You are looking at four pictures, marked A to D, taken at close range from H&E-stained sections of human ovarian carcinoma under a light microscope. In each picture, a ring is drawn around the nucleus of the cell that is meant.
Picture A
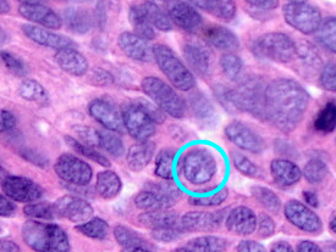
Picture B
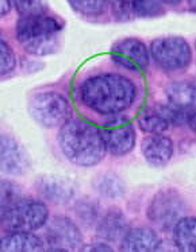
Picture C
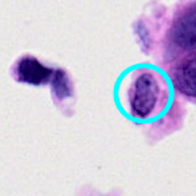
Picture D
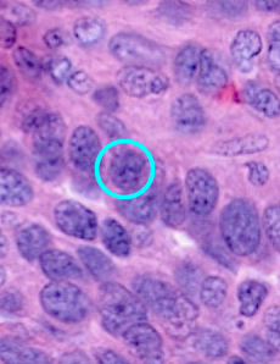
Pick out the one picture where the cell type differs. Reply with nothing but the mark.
C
